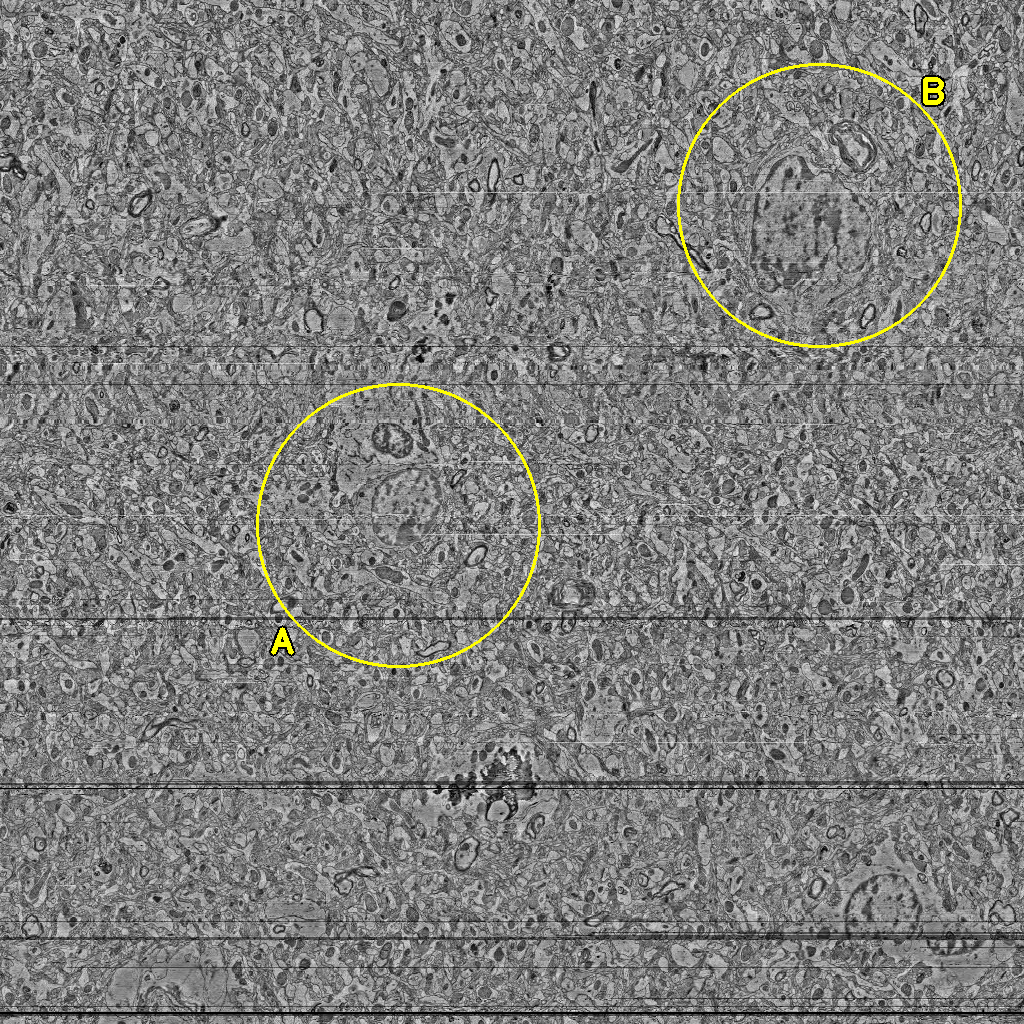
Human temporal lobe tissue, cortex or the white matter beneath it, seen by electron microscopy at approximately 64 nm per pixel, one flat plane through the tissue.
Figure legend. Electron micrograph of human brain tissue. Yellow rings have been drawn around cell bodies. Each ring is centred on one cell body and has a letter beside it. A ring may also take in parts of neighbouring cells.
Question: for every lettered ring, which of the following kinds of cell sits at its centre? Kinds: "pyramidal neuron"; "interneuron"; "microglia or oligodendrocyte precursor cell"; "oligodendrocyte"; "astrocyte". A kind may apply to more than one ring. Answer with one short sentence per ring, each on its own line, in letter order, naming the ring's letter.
Ring A is centred on an oligodendrocyte.
Ring B is centred on a microglial cell or oligodendrocyte precursor cell.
